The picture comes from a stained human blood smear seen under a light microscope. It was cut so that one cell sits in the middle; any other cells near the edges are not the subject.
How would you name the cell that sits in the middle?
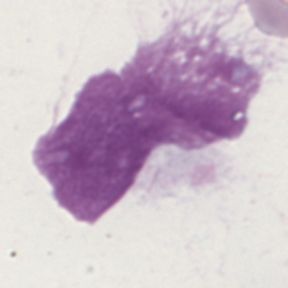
smudge cell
